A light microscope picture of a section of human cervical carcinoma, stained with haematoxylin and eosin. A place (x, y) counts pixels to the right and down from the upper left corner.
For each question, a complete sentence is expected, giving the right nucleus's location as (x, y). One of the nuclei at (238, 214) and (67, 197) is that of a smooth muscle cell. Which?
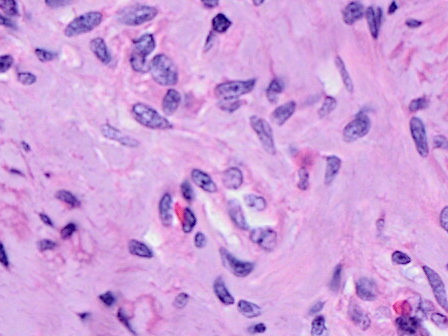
The nucleus of a smooth muscle cell is the one found at (67, 197), not the other.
